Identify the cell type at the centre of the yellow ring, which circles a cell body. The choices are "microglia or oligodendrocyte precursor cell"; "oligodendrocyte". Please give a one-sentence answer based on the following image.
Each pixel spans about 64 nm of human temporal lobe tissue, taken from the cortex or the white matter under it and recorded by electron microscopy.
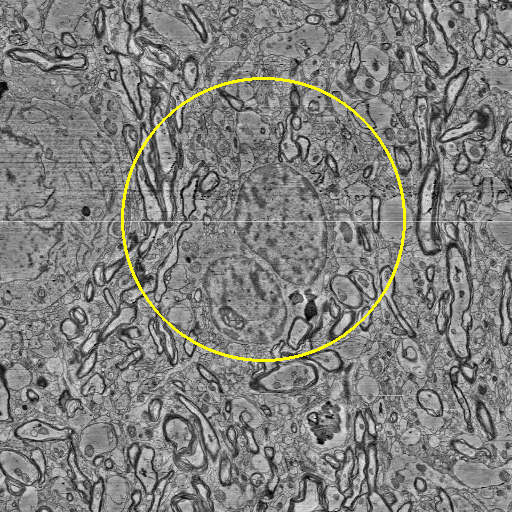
The cell marked by the ring is an oligodendrocyte.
